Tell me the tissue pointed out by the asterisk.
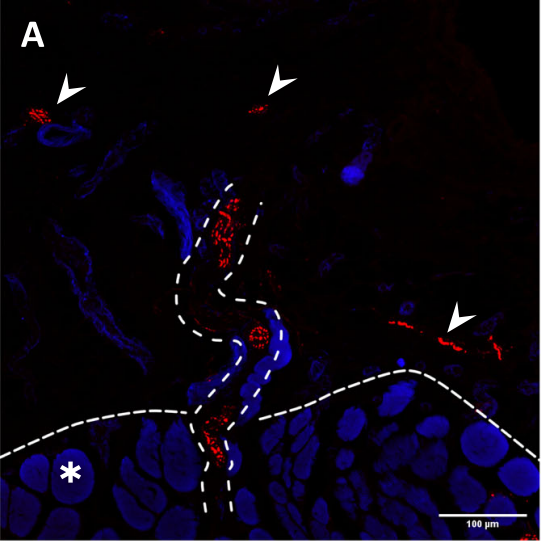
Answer: Muscle fibers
